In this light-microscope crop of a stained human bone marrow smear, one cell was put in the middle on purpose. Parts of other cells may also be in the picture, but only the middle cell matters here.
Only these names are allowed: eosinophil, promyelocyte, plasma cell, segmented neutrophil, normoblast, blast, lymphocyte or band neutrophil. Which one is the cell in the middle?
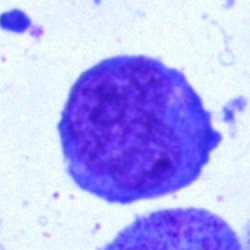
blast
